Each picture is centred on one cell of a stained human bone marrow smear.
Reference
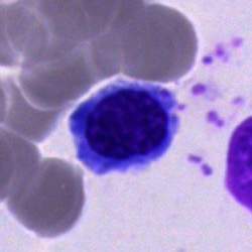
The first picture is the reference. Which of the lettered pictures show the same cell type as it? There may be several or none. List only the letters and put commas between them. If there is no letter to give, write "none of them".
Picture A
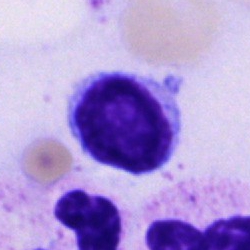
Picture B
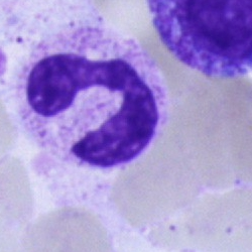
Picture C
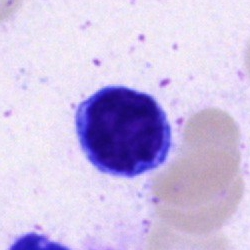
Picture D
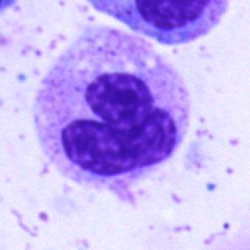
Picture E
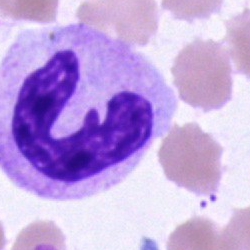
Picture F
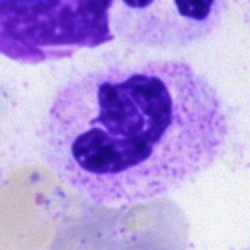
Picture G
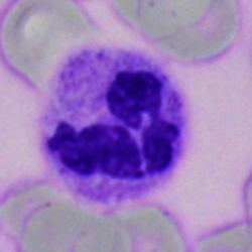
none of them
